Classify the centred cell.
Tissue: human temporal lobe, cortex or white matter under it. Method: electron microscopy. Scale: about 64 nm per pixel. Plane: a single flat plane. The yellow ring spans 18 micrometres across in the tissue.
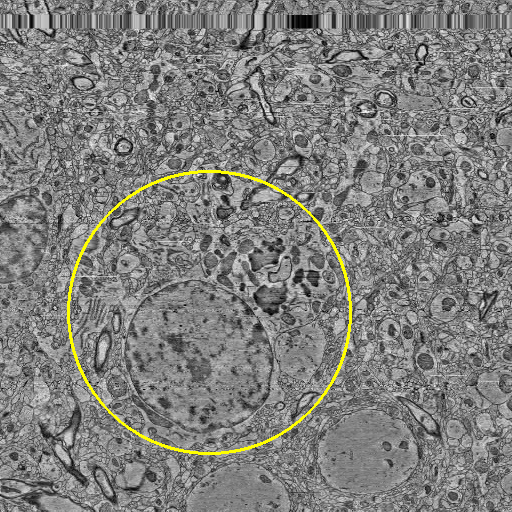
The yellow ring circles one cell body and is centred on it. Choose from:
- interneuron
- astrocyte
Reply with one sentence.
The ring is centred on an astrocyte.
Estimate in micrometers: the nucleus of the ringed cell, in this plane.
The nucleus is approximately 10 micrometers across in this plane.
